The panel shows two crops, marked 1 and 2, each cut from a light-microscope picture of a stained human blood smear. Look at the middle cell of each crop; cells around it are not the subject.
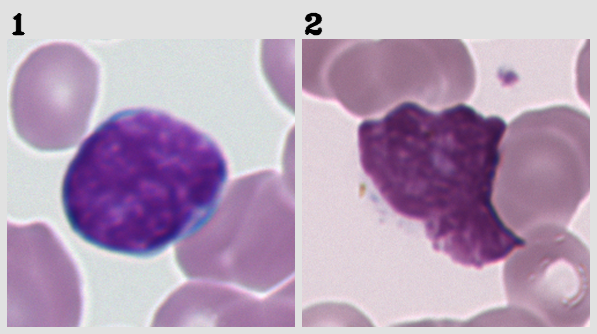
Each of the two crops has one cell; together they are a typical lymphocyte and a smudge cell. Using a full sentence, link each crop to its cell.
Crop 1 is occupied by a typical lymphocyte, and crop 2 is occupied by a smudge cell.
